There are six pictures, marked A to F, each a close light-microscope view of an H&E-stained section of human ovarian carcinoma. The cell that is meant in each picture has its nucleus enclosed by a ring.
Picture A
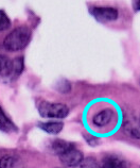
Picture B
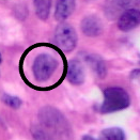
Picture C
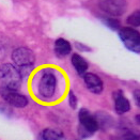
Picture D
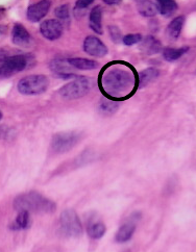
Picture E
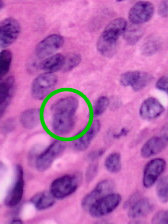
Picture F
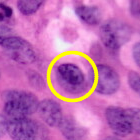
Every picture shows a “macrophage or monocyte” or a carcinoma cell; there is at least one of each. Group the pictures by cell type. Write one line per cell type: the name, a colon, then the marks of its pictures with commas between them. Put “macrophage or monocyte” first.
macrophage or monocyte: A, B, C
carcinoma cell: D, E, F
